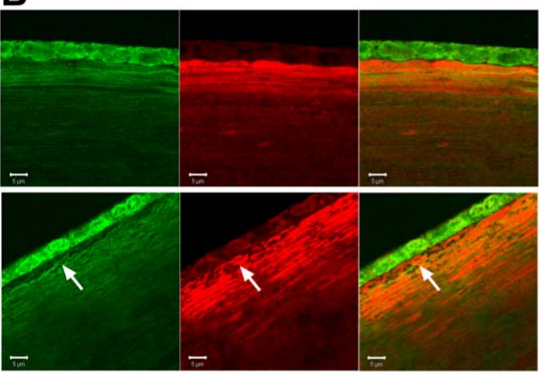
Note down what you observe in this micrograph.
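This is a section of the anterior lens cortex, with a single row of cuboidal epithelial cells along the top edge over long, thin cortical fibers arranged in parallel layers. The epithelial cells are bright green, with darker rounded nuclei, while the fibers below show fainter green and red streaks. In the bottom row the fibers are more strongly and unevenly red, appearing streaky and less orderly, and arrows point to irregular areas just beneath the epithelium.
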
